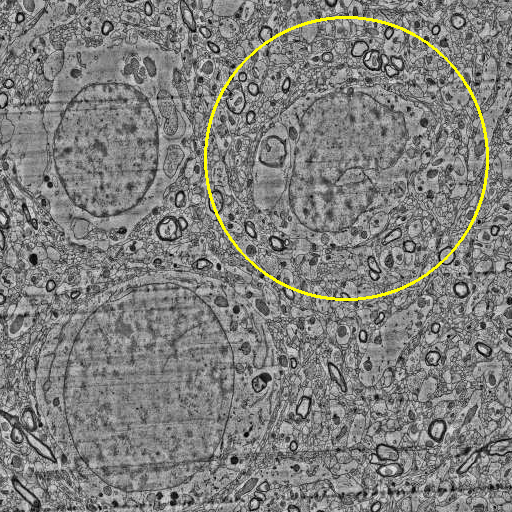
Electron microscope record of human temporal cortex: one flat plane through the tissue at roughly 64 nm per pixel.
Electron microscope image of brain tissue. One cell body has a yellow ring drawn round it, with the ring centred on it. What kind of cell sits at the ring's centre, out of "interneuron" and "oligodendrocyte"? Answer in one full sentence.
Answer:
It is an interneuron whose cell body sits at the centre of the yellow ring.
